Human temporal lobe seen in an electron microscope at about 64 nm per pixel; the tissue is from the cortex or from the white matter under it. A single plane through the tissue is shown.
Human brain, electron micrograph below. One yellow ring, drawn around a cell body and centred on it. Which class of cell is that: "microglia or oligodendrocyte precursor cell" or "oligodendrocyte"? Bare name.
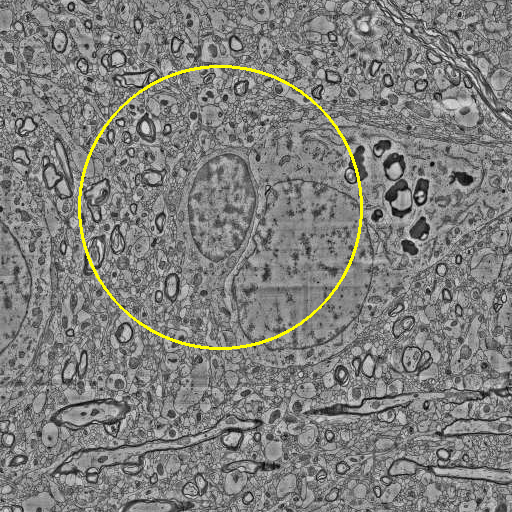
oligodendrocyte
